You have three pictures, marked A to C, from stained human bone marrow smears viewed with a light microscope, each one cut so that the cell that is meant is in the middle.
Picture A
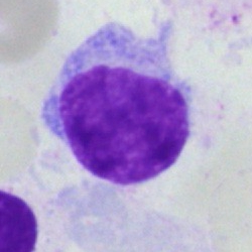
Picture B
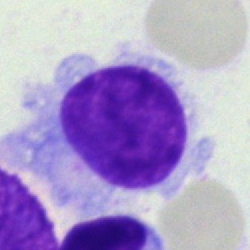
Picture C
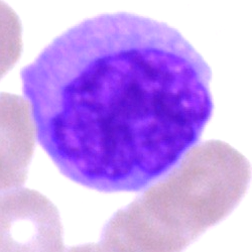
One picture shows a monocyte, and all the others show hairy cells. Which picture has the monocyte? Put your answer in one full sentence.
It is picture C that shows the monocyte.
